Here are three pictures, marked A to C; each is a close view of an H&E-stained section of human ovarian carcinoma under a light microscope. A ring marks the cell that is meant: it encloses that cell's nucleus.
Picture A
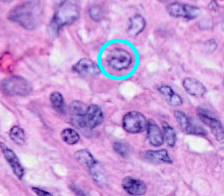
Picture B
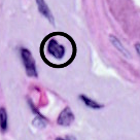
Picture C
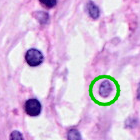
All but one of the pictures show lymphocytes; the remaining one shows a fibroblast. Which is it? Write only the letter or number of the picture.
A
